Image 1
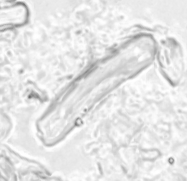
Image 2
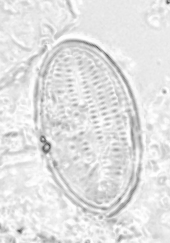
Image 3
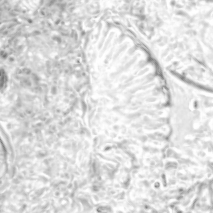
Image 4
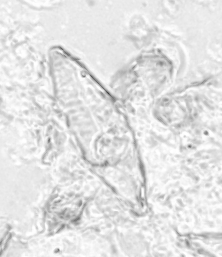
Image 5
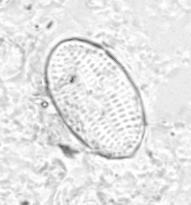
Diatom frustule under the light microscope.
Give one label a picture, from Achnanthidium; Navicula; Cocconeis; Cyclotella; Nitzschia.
Picture 1: Achnanthidium
Picture 2: Cocconeis
Picture 3: Cyclotella
Picture 4: Navicula
Picture 5: Cocconeis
